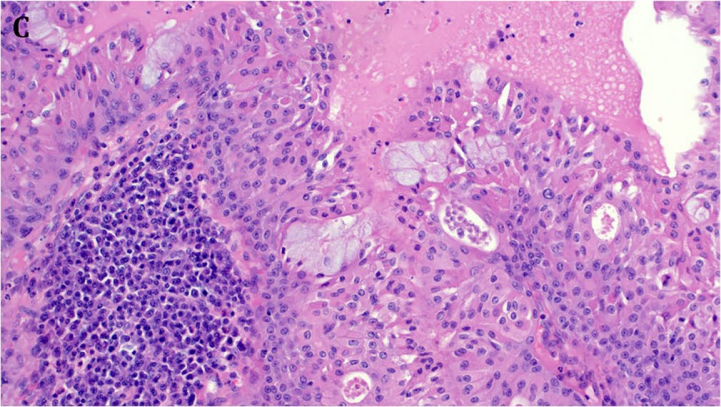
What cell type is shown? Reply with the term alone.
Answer: Mucous cell clusters.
